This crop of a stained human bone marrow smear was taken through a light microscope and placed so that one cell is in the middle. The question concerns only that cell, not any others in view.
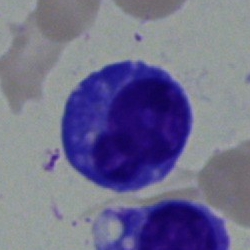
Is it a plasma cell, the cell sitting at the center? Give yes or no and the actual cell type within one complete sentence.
Yes, the cell located at the center is a plasma cell.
